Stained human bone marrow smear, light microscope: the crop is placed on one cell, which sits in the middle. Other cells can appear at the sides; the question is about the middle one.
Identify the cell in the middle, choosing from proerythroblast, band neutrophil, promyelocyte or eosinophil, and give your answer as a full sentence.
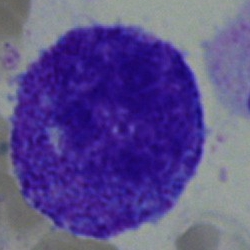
The centrally positioned cell in the crop represents a promyelocyte.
